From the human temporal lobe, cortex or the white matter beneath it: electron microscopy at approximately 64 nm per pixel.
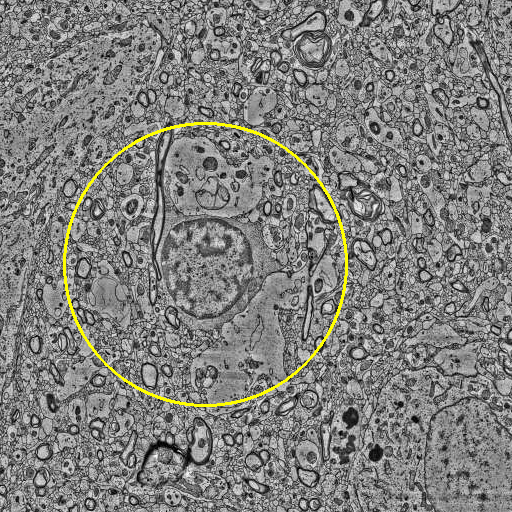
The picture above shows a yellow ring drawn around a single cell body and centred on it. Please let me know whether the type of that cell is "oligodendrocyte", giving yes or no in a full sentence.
Yes, that type fits the cell at the centre of the ring above.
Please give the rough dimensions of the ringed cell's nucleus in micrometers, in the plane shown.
The nucleus is about 6 micrometres across in this plane.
